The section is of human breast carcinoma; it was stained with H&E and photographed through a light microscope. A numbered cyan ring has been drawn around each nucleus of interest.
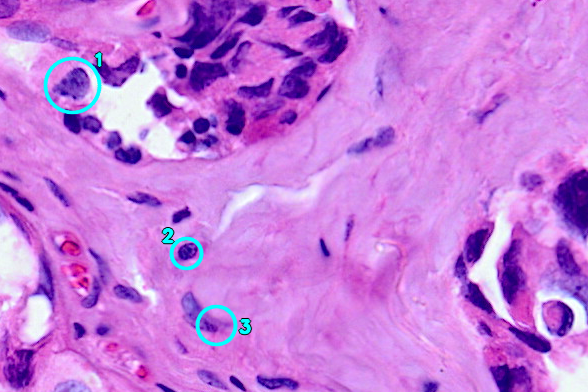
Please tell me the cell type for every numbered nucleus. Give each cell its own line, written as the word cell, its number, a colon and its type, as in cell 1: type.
cell 1: carcinoma cell
cell 2: mast cell
cell 3: fibroblast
